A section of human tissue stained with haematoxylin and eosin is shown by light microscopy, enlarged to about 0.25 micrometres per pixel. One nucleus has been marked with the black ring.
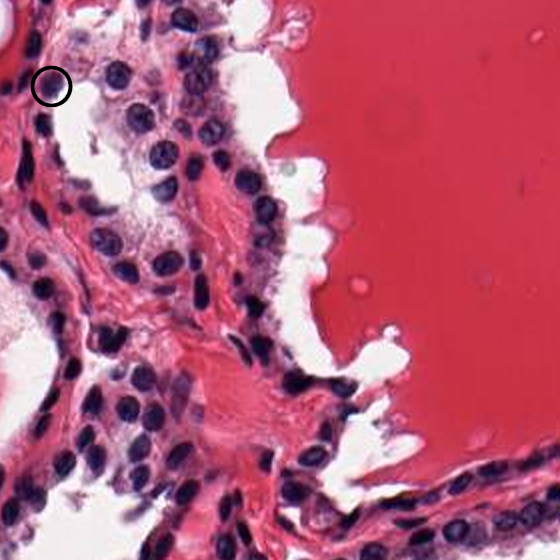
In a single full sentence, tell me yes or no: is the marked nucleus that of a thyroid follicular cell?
Yes, the marked nucleus belongs to a thyroid follicular cell.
